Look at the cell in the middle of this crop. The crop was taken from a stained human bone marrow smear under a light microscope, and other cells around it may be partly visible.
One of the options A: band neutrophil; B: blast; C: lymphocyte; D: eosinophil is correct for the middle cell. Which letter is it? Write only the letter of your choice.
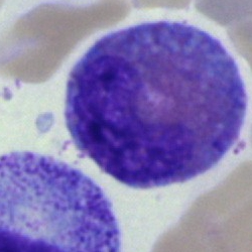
D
